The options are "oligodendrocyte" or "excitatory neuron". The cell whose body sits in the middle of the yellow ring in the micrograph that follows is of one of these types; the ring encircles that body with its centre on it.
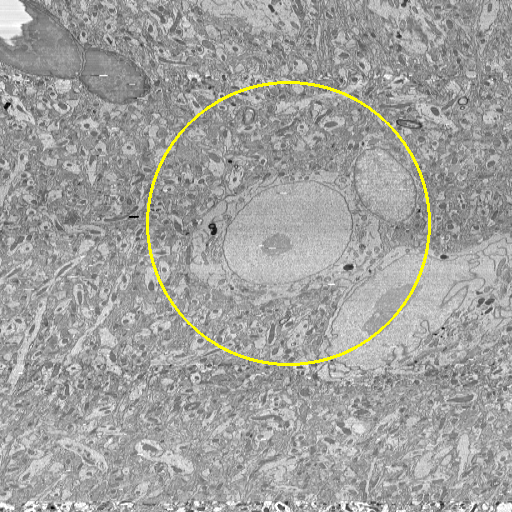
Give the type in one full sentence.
Going by the micrograph, the cell centred in the yellow ring is an excitatory neuron.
